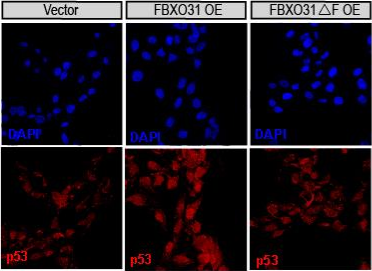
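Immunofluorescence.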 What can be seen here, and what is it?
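These are cultured cells lying in a loose single layer. Each has one round to oval nucleus that shows blue in the top row.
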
